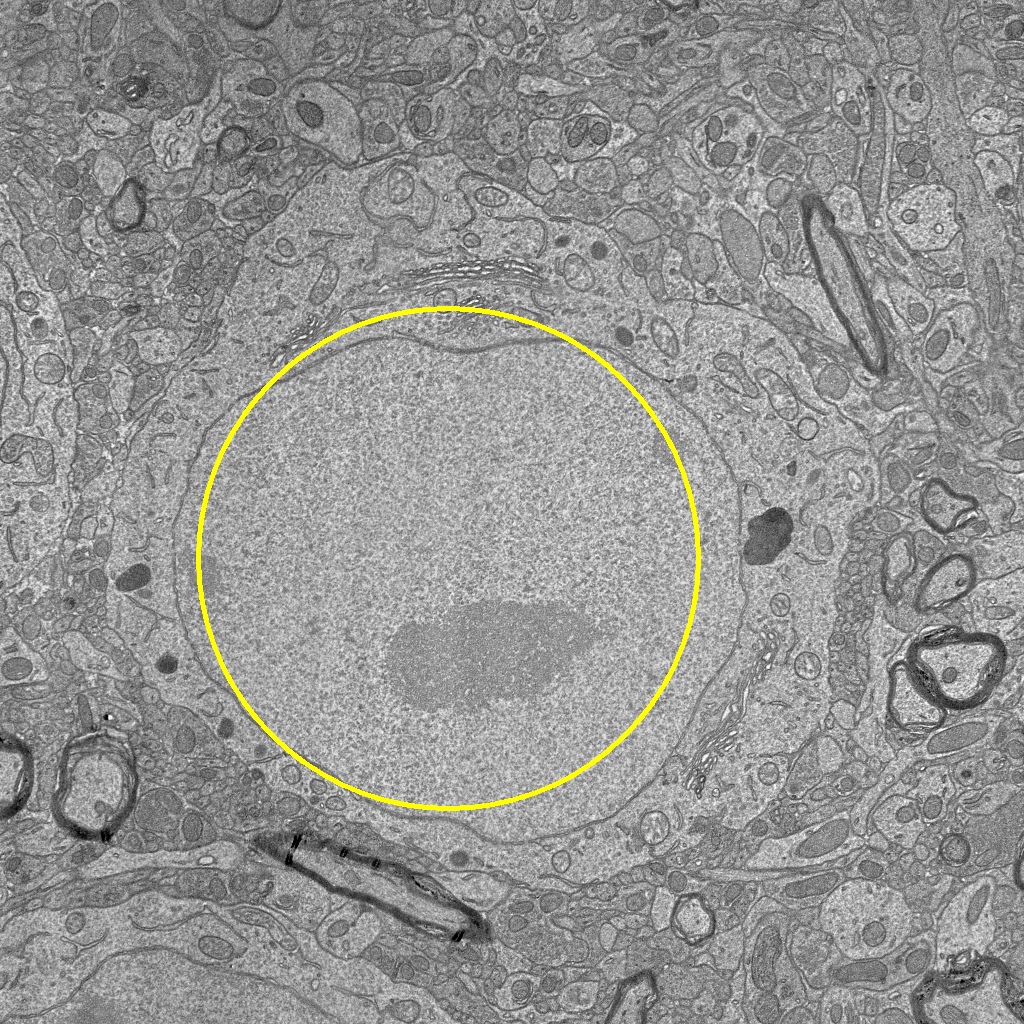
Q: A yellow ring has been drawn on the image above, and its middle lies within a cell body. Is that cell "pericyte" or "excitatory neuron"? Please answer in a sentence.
The ring's middle lies in the cell body of an excitatory neuron.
